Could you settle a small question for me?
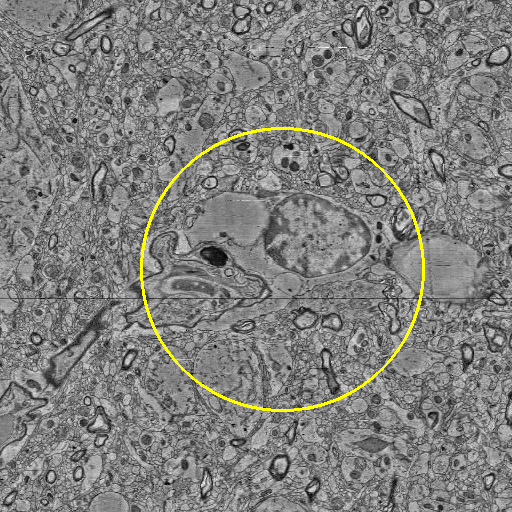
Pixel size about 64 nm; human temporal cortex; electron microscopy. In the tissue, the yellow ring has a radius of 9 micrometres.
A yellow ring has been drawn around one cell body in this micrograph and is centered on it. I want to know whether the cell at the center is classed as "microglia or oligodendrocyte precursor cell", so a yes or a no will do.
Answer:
yes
